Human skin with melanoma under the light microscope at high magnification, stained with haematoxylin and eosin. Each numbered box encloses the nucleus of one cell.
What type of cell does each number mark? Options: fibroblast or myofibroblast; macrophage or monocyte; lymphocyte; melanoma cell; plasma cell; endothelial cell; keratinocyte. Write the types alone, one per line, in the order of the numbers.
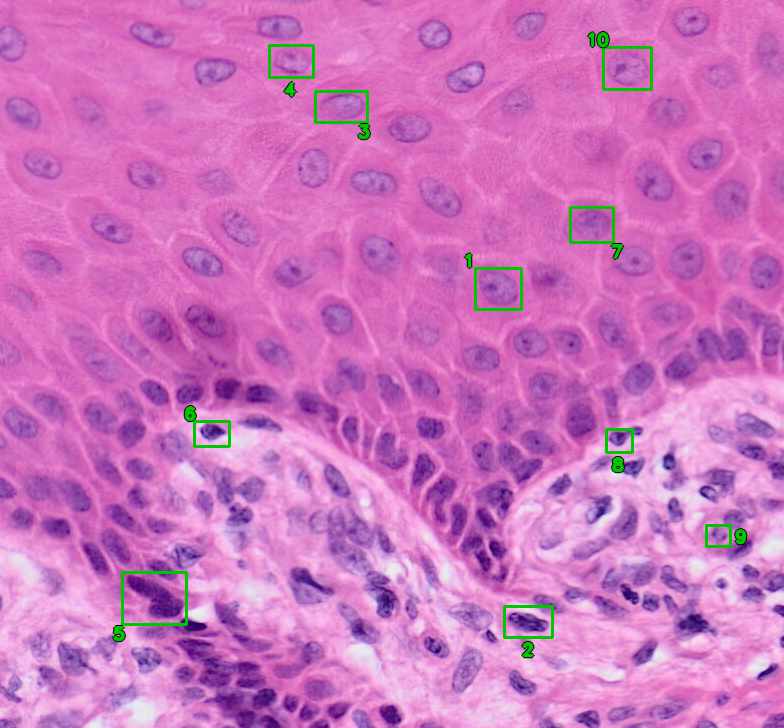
keratinocyte
lymphocyte
keratinocyte
keratinocyte
keratinocyte
lymphocyte
keratinocyte
lymphocyte
endothelial cell
keratinocyte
